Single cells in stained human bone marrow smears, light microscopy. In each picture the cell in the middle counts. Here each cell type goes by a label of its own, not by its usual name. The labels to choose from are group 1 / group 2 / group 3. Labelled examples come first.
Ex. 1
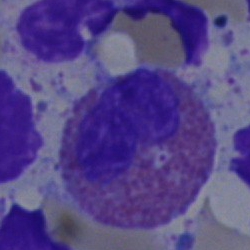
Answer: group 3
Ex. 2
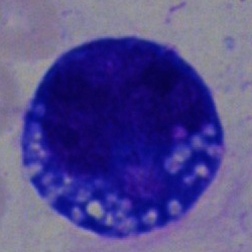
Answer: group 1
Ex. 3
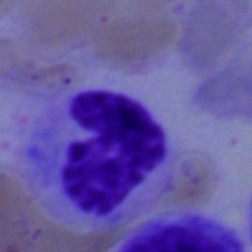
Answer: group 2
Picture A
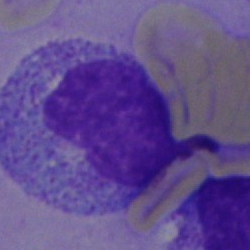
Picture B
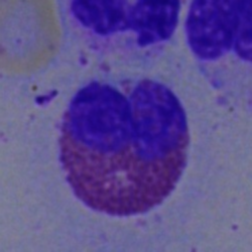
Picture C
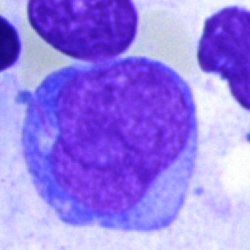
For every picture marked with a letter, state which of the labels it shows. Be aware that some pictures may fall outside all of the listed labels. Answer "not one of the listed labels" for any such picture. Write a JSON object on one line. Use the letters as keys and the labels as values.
{"A": "not one of the listed labels", "B": "group 3", "C": "group 1"}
